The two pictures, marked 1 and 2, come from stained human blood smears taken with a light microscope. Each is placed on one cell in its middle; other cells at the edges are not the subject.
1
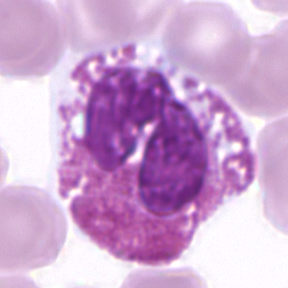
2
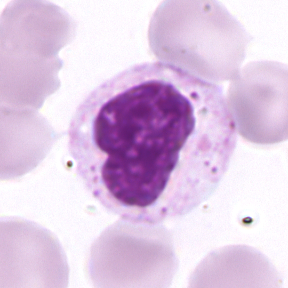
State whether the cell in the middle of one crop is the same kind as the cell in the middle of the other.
no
